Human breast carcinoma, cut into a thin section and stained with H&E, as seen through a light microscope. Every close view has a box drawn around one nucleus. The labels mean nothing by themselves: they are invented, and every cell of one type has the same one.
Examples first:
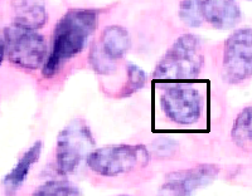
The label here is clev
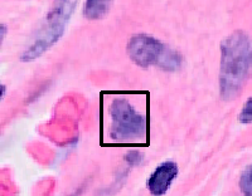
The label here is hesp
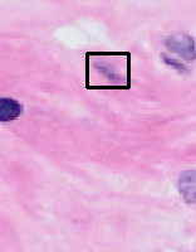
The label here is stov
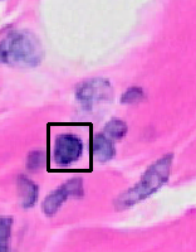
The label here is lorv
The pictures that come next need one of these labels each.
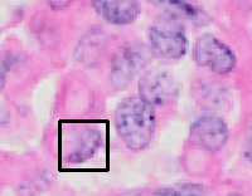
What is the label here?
clev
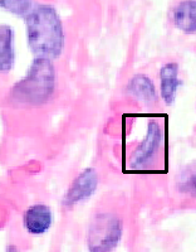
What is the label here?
hesp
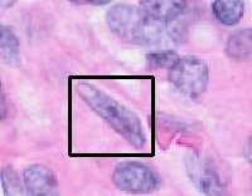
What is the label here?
hesp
